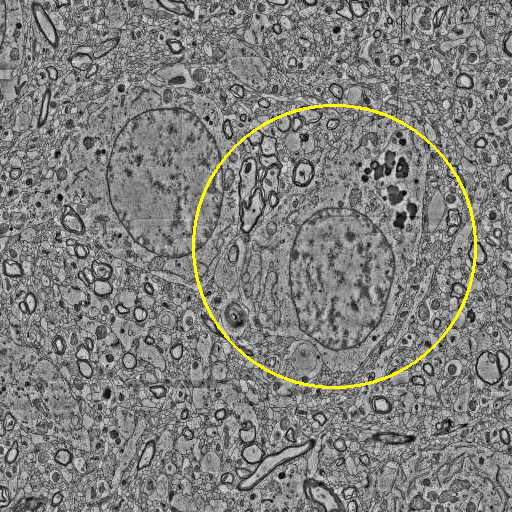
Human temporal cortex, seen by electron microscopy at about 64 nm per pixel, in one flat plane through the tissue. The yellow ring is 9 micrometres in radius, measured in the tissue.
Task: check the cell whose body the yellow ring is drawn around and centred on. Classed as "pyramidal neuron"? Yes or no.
Yes, it is classed that way.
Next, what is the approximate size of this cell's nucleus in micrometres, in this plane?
Roughly 9 micrometres by 7 micrometres, in this plane.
